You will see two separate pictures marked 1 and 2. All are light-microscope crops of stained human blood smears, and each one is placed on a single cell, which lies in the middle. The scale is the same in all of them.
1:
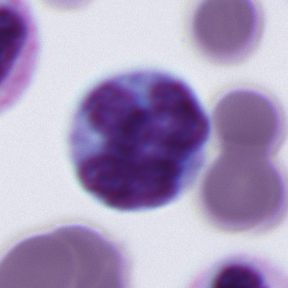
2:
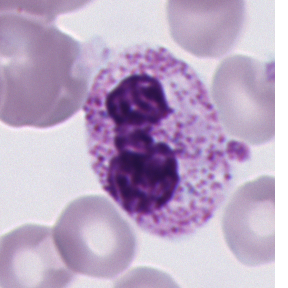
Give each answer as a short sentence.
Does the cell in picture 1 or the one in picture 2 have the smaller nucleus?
Smaller is the nucleus in picture 2, and the other is about 1.5 times as large in area.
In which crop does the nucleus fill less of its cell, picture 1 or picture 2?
It is the cell in picture 2 that is filled less by its nucleus.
